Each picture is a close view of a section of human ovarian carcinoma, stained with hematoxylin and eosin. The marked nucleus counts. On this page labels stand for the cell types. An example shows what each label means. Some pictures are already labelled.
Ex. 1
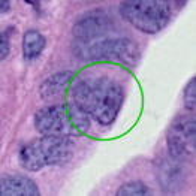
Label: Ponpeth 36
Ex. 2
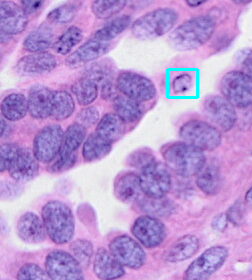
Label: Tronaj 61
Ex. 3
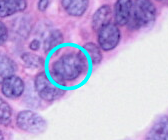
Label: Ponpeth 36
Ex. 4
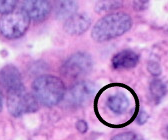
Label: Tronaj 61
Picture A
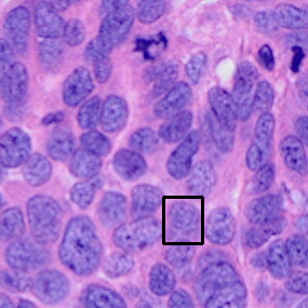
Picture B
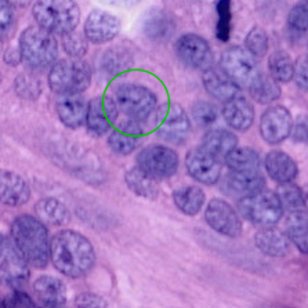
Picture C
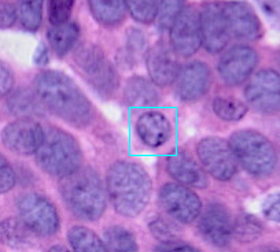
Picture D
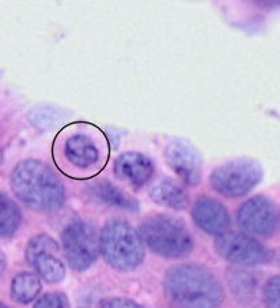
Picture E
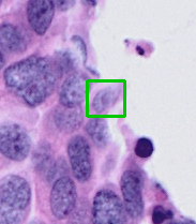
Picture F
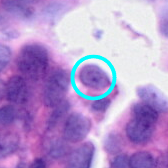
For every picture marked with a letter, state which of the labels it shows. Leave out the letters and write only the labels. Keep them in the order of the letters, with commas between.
Ponpeth 36, Ponpeth 36, Tronaj 61, Tronaj 61, Ponpeth 36, Ponpeth 36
